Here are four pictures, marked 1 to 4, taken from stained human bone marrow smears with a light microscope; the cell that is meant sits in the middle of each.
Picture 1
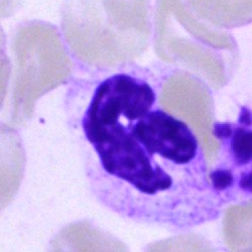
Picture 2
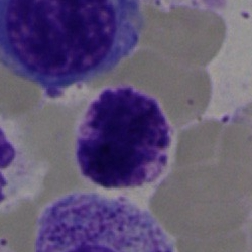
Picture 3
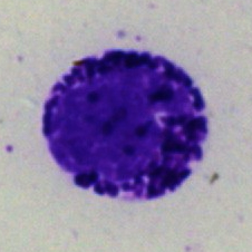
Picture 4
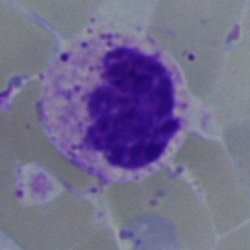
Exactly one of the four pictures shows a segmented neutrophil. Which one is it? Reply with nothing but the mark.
1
